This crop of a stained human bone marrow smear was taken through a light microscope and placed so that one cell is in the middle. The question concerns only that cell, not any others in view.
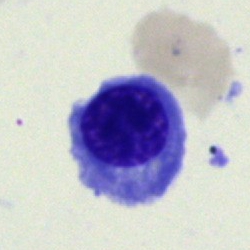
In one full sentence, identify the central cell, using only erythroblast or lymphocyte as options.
The cell at the centre of the field is an erythroblast.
